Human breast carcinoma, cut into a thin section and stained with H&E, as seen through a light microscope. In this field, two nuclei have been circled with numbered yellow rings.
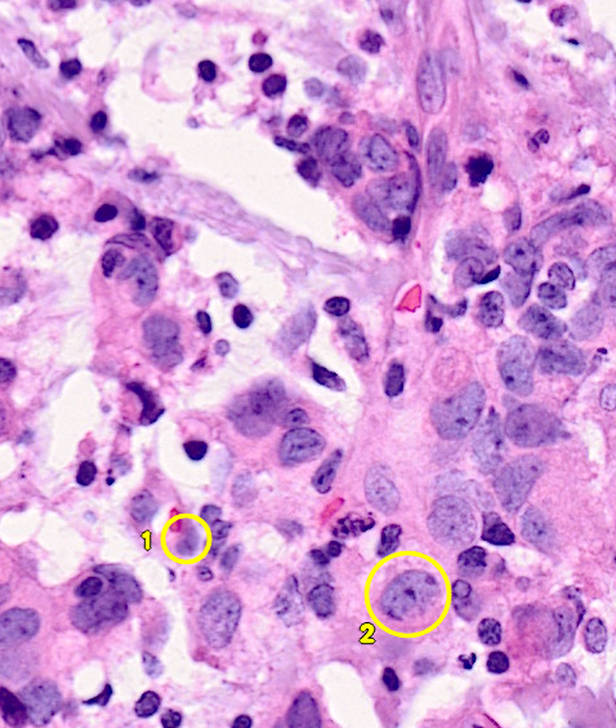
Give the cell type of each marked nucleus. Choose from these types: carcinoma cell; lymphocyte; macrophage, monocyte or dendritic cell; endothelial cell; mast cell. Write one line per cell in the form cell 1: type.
cell 1: endothelial cell
cell 2: carcinoma cell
